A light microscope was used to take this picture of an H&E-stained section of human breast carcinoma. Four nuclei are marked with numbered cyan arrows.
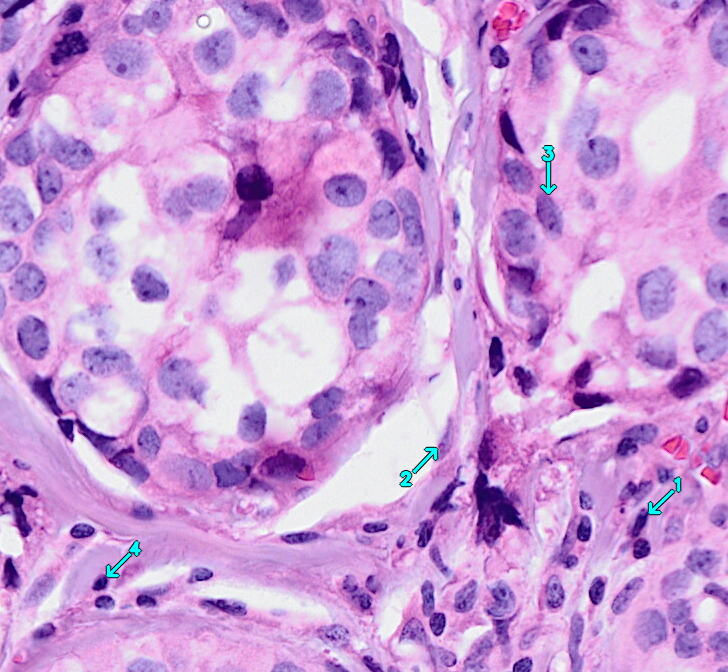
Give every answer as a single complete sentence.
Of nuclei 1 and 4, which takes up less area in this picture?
It is nucleus 4; nucleus 1 has about 1.5 times its area.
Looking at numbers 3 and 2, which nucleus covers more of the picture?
At about 2 times the area of nucleus 2, nucleus 3 is the larger of the two.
